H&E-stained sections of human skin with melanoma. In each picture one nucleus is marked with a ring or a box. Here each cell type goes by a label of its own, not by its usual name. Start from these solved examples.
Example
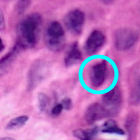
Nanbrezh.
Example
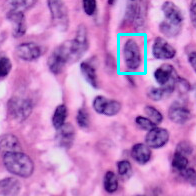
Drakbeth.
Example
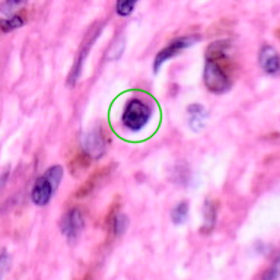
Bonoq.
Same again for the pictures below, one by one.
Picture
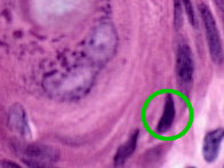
Nanbrezh.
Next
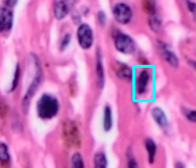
Bonoq.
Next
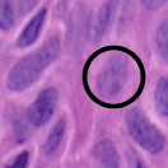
Nanbrezh.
